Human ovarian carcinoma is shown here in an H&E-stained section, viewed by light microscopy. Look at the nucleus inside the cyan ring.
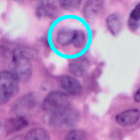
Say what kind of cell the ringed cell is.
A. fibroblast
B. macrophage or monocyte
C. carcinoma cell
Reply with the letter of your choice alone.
B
